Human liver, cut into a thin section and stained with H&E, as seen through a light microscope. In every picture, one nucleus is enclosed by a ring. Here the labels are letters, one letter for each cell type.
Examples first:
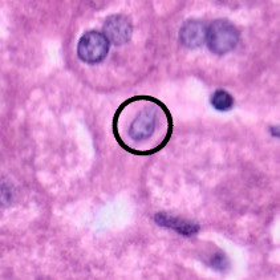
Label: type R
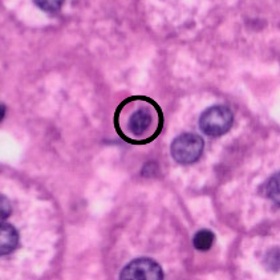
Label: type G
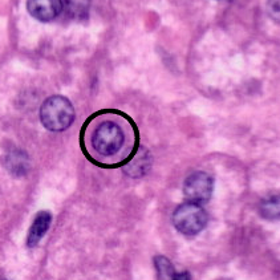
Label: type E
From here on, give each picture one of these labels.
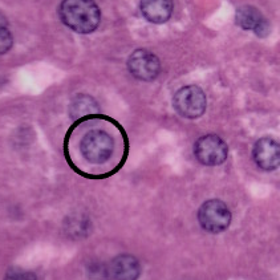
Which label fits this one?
type E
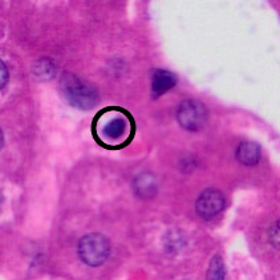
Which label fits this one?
type G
